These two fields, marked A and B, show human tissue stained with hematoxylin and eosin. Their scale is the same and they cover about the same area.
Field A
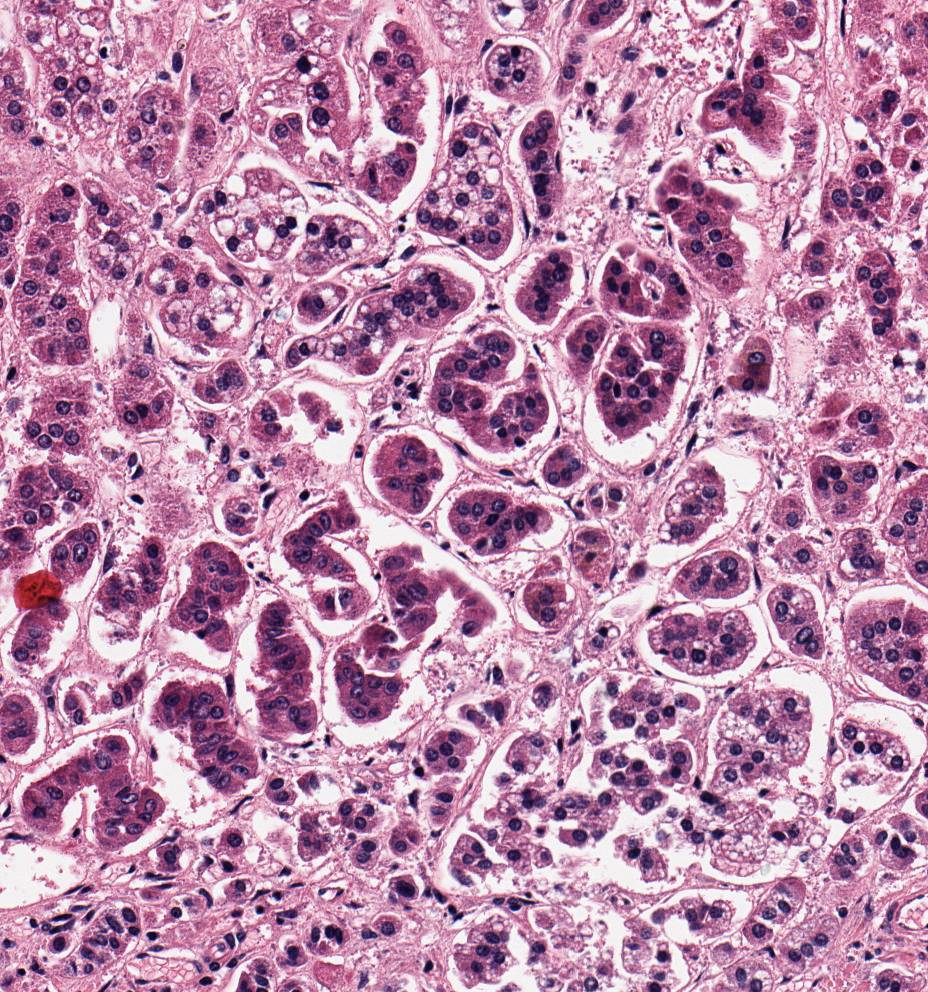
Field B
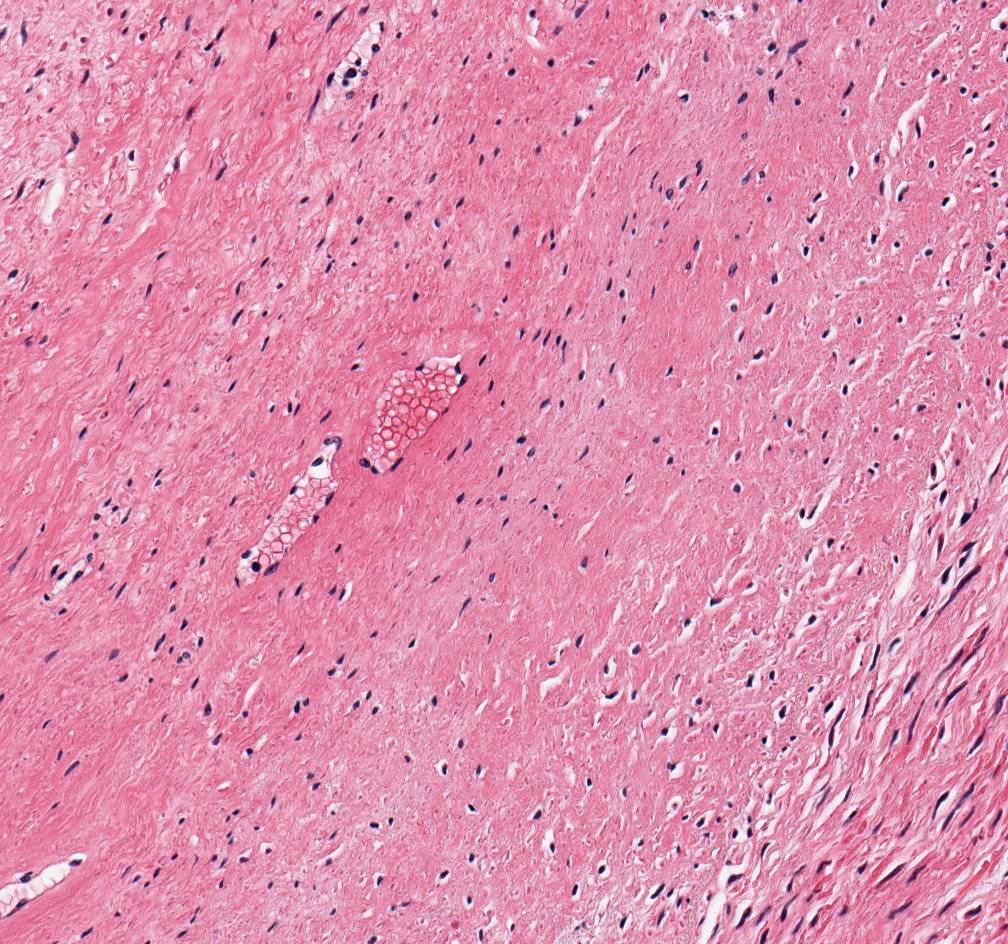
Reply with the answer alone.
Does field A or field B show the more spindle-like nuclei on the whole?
B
